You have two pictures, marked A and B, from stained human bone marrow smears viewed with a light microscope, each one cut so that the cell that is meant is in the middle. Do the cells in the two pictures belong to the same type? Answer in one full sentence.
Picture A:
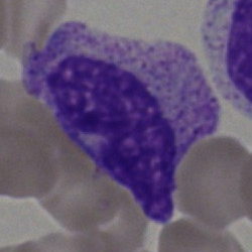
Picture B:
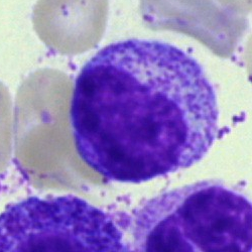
Yes; the cells in both pictures are myelocytes.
